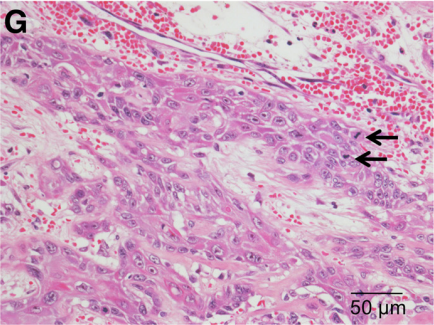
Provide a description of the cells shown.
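This shows squamous cell carcinoma: large, polygonal to spindled tumor cells arranged in irregular sheets and strands. The cells have abundant pink, glassy cytoplasm and large, oval nuclei with open chromatin and conspicuous nucleoli; nuclear size varies from cell to cell. Near the right side a few cells contain dark, condensed chromatin of dividing cells. Thin strands of pale pink stroma run between the cell groups. In the upper right, numerous red blood cells fill a space bordering the tumor, lying just beside a band of stretched, elongated cells.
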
